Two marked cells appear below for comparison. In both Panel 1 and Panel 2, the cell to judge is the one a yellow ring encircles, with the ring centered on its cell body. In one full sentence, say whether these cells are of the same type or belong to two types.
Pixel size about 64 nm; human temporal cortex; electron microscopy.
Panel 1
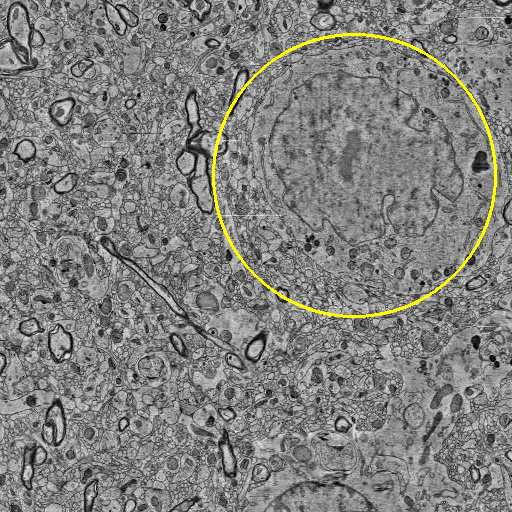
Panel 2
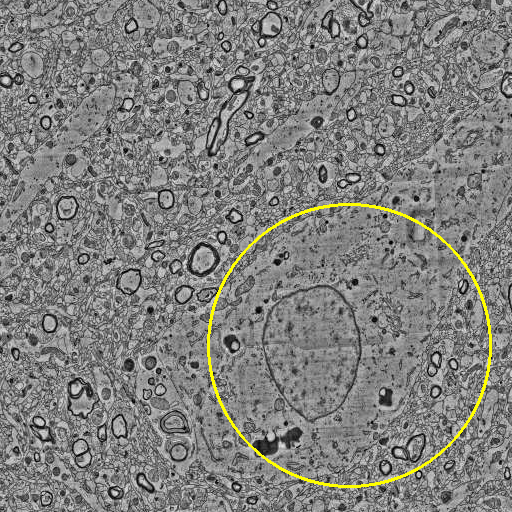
The cell centered in the Panel 1 ring and the one in Panel 2 belong to two types.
